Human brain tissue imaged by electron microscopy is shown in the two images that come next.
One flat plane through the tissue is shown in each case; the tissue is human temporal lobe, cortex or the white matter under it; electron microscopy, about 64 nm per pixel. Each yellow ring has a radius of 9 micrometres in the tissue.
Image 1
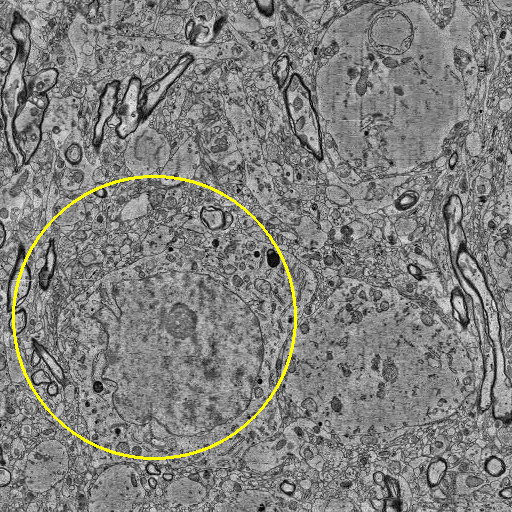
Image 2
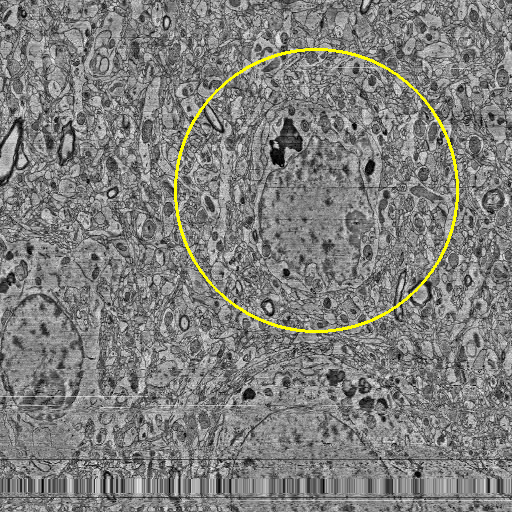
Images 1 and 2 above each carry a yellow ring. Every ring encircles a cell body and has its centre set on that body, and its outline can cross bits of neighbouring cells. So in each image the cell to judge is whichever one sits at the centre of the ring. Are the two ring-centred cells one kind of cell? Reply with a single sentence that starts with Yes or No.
Yes, in Image 1 and Image 2 the cells at the centres of their rings fall into one type.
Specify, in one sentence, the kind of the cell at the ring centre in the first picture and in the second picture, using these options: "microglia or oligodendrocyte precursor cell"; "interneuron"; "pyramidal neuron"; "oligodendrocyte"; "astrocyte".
The cell at the ring centre is an interneuron in both pictures.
